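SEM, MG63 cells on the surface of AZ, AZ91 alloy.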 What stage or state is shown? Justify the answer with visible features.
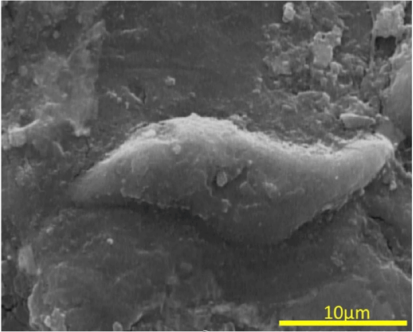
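The cell tapers at both ends and hugs the underlying surface.
Hence: spreading.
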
